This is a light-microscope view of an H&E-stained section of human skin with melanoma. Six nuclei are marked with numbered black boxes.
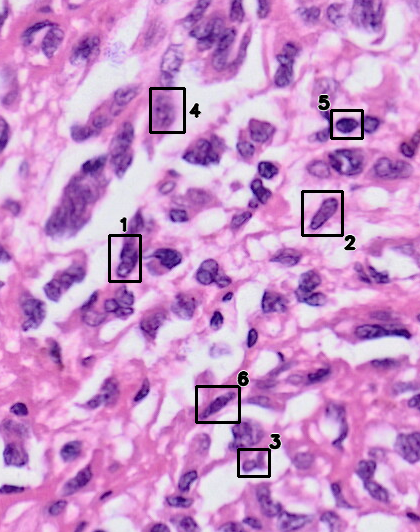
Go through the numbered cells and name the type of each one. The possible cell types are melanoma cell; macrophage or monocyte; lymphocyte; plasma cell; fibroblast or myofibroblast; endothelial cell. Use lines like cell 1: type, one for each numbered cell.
cell 1: melanoma cell
cell 2: macrophage or monocyte
cell 3: melanoma cell
cell 4: melanoma cell
cell 5: lymphocyte
cell 6: melanoma cell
